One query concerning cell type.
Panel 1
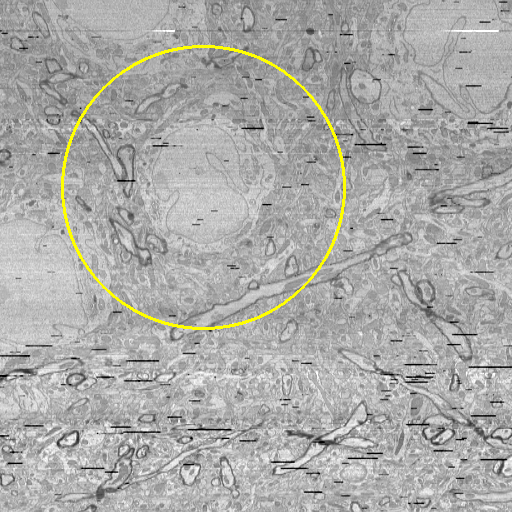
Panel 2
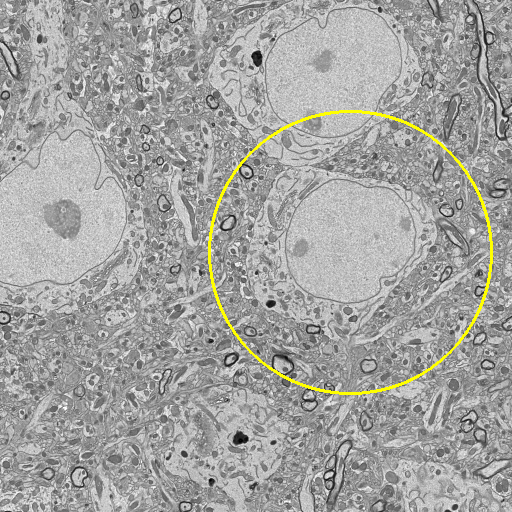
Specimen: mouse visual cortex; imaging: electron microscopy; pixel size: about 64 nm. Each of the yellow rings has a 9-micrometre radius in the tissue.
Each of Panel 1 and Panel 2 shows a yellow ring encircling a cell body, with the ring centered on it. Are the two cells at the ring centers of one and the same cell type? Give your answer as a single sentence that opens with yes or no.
Yes, the cell centered in Panel 1 and the one in Panel 2 share a type.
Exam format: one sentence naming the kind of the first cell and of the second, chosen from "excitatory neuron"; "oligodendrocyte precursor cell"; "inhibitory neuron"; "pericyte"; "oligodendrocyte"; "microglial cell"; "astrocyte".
In each of the two pictures, the ringed cell is an excitatory neuron.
